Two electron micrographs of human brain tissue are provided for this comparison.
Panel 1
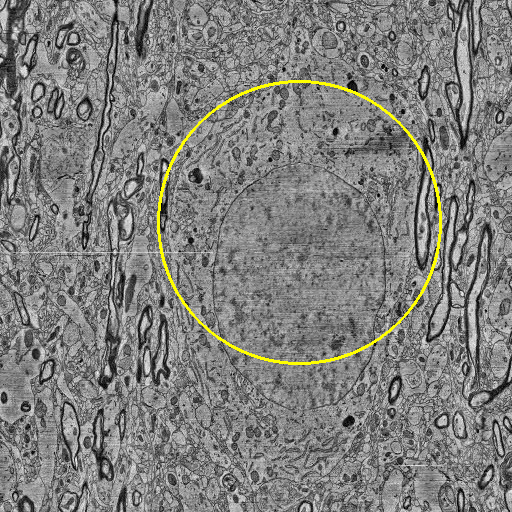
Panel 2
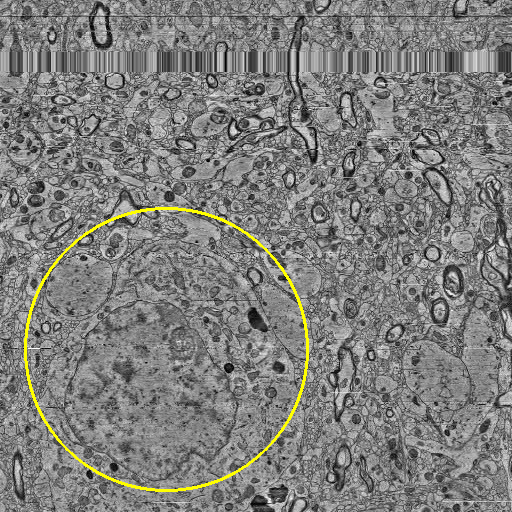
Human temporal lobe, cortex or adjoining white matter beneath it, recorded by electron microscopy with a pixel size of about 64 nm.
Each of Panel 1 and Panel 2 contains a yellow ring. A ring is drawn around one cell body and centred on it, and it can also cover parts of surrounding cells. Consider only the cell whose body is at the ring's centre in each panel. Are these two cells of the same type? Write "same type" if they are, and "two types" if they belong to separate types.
two types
